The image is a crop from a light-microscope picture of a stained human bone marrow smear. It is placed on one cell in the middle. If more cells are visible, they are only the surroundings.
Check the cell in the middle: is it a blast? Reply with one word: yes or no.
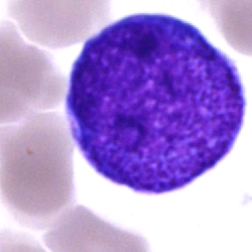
no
